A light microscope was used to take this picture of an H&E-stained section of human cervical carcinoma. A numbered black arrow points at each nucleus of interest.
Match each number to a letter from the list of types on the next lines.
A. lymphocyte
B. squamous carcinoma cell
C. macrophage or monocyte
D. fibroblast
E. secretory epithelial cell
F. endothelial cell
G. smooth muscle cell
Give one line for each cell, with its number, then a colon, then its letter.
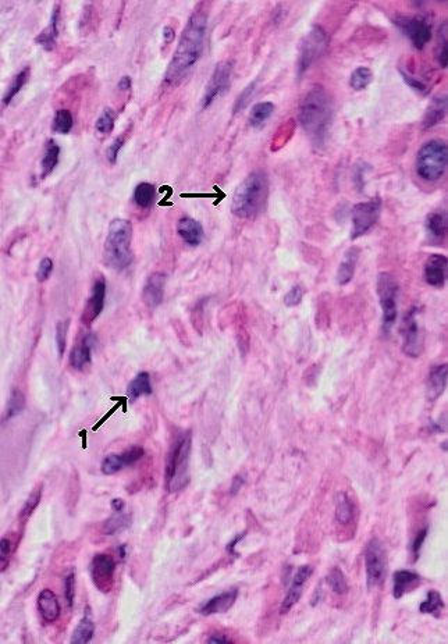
1: A
2: F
